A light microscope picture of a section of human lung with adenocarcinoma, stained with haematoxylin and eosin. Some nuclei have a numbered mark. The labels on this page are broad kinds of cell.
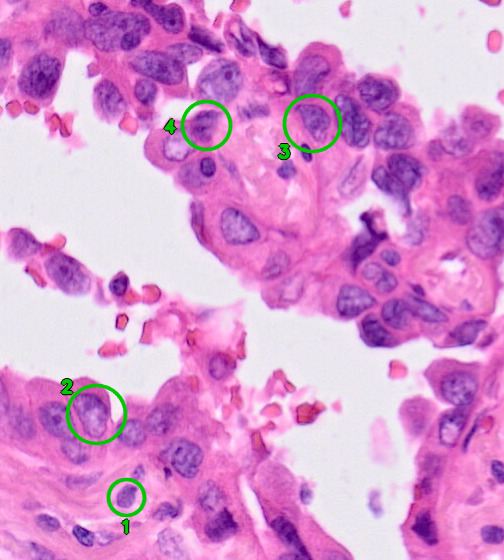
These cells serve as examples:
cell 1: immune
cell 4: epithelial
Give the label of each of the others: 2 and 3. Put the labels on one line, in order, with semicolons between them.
epithelial; epithelial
